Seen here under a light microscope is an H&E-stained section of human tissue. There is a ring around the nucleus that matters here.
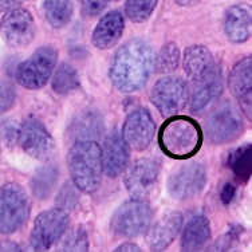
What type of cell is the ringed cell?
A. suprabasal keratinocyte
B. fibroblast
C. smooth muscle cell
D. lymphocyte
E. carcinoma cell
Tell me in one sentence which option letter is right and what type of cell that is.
Given that the ringed cell is a carcinoma cell, option E is the correct one.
